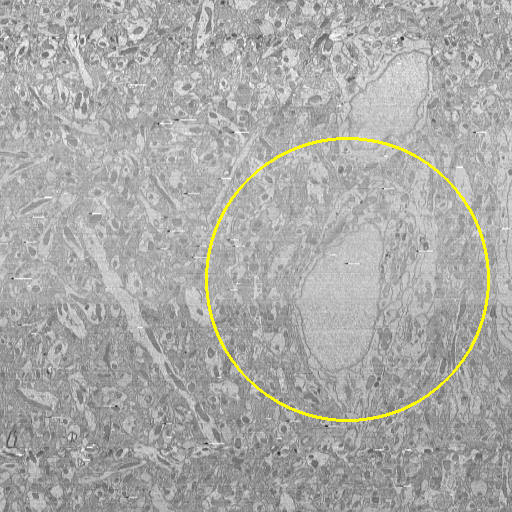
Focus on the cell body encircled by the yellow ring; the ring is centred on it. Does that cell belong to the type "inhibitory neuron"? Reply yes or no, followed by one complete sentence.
Yes, that type fits the cell lying at the centre of the ring in the picture.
